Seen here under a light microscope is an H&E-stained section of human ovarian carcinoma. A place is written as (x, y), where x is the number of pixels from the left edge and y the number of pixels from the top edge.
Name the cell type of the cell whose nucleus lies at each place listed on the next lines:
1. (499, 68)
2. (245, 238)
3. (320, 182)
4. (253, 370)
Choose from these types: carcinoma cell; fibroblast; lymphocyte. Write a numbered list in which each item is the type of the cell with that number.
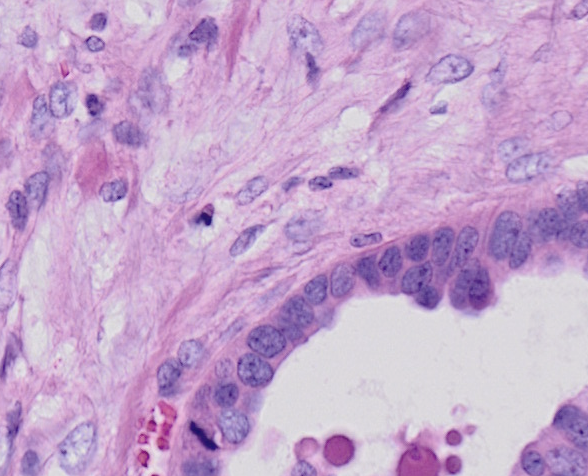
1. fibroblast
2. fibroblast
3. lymphocyte
4. carcinoma cell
